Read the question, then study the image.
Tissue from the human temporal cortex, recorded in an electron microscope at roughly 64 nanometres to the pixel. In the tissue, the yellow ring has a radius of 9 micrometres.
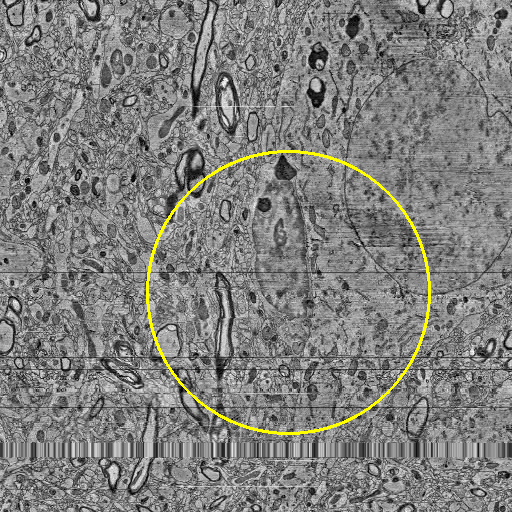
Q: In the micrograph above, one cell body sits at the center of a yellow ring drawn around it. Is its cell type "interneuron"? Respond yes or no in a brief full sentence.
No, its cell type is another one.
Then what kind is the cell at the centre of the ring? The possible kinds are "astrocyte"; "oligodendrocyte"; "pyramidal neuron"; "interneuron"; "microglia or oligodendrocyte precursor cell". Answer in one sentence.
The cell marked by the ring is an oligodendrocyte.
